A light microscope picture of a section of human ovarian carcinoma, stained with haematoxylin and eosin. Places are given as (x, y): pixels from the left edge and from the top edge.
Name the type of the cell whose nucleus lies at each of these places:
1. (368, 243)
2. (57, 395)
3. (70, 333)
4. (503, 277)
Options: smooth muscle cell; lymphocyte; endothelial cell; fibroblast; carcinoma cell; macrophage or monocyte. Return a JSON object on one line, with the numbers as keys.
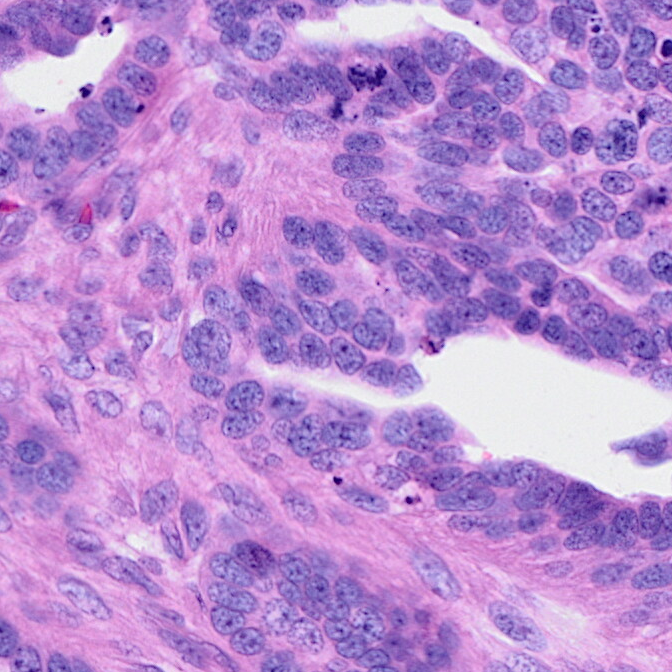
{"1": "carcinoma cell", "2": "fibroblast", "3": "fibroblast", "4": "carcinoma cell"}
